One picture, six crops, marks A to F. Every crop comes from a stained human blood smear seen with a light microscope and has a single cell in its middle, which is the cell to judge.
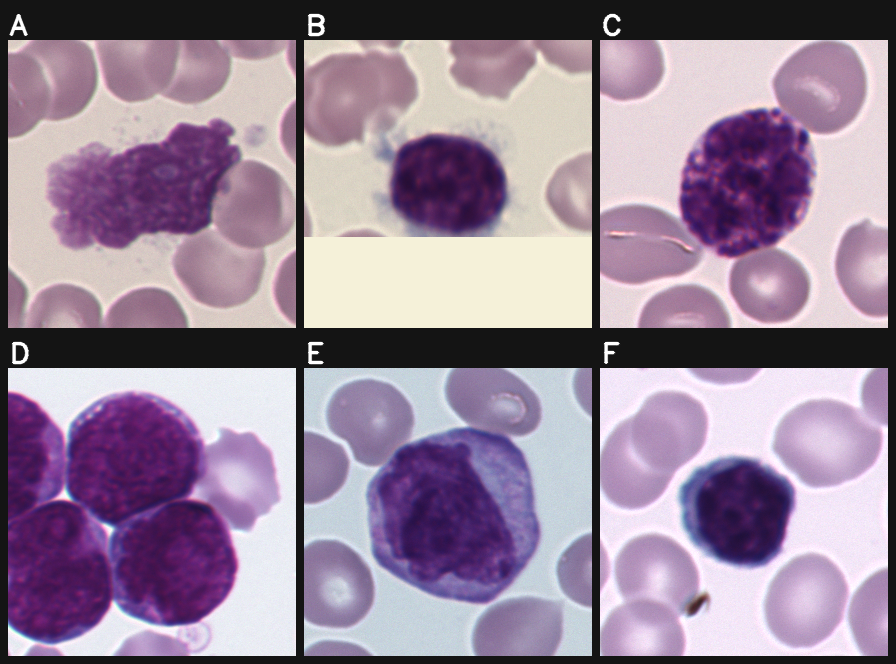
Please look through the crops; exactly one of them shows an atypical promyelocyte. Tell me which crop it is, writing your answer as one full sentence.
Of these crops, it is crop E that shows an atypical promyelocyte.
